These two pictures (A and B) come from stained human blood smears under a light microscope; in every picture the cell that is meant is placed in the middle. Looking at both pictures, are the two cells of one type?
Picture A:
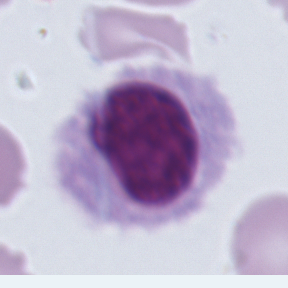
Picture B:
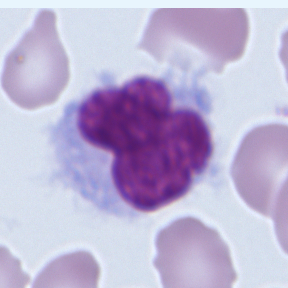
yes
